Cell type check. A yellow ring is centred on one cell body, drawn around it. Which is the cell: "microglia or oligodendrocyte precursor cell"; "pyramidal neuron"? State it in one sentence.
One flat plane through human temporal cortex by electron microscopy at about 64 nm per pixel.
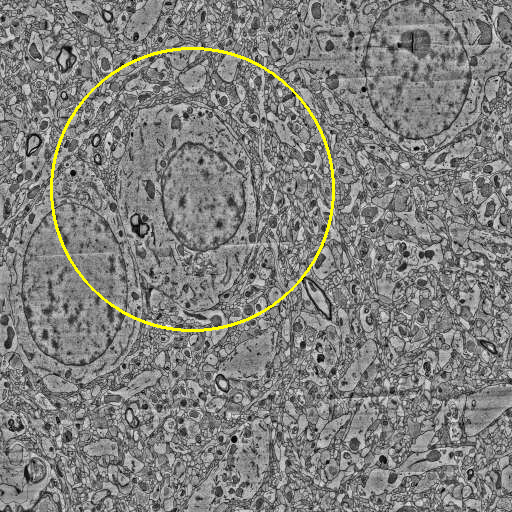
The cell body at the ring's centre belongs to a pyramidal neuron.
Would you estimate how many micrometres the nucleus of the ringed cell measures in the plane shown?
In this plane the nucleus measures roughly 7 by 5 micrometers.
